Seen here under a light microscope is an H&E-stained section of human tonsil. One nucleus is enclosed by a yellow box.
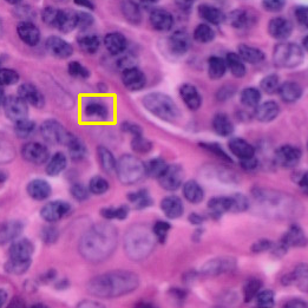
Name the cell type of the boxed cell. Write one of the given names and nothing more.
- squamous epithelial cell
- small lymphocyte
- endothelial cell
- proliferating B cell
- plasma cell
endothelial cell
